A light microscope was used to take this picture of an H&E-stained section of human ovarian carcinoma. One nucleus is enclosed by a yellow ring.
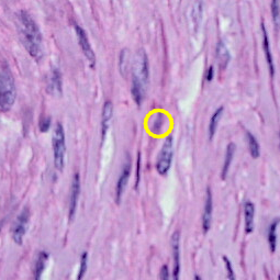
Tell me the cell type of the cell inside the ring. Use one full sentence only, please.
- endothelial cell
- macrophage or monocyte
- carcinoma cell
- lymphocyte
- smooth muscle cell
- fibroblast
Students should answer that the cell inside the ring is a fibroblast.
